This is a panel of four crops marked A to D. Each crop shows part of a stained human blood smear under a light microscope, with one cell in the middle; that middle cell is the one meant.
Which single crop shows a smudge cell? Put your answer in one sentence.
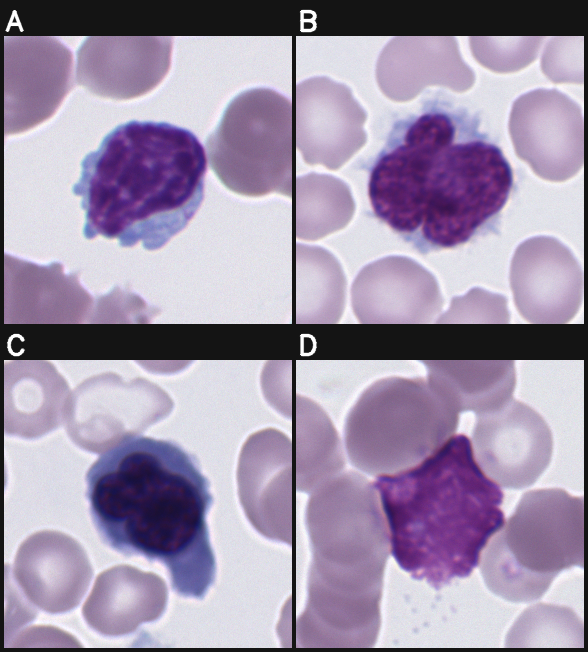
Here the crop that shows a smudge cell is crop D.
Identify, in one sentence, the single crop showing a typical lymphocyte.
Of the labeled crops, the one with a typical lymphocyte is crop A.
